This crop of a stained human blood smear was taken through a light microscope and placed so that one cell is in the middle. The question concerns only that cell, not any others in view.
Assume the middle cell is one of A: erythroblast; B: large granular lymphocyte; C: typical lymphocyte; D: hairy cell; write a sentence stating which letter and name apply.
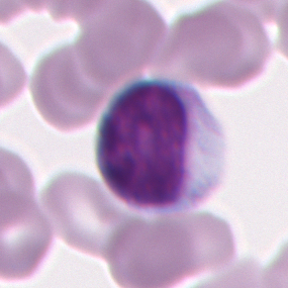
Correctly, option C names the cell in the middle a typical lymphocyte.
